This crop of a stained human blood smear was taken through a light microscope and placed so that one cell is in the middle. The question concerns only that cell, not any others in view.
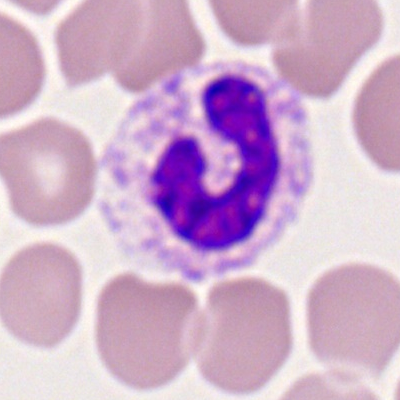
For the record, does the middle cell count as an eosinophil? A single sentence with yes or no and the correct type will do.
No, the middle cell is actually a band neutrophil rather than an eosinophil.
